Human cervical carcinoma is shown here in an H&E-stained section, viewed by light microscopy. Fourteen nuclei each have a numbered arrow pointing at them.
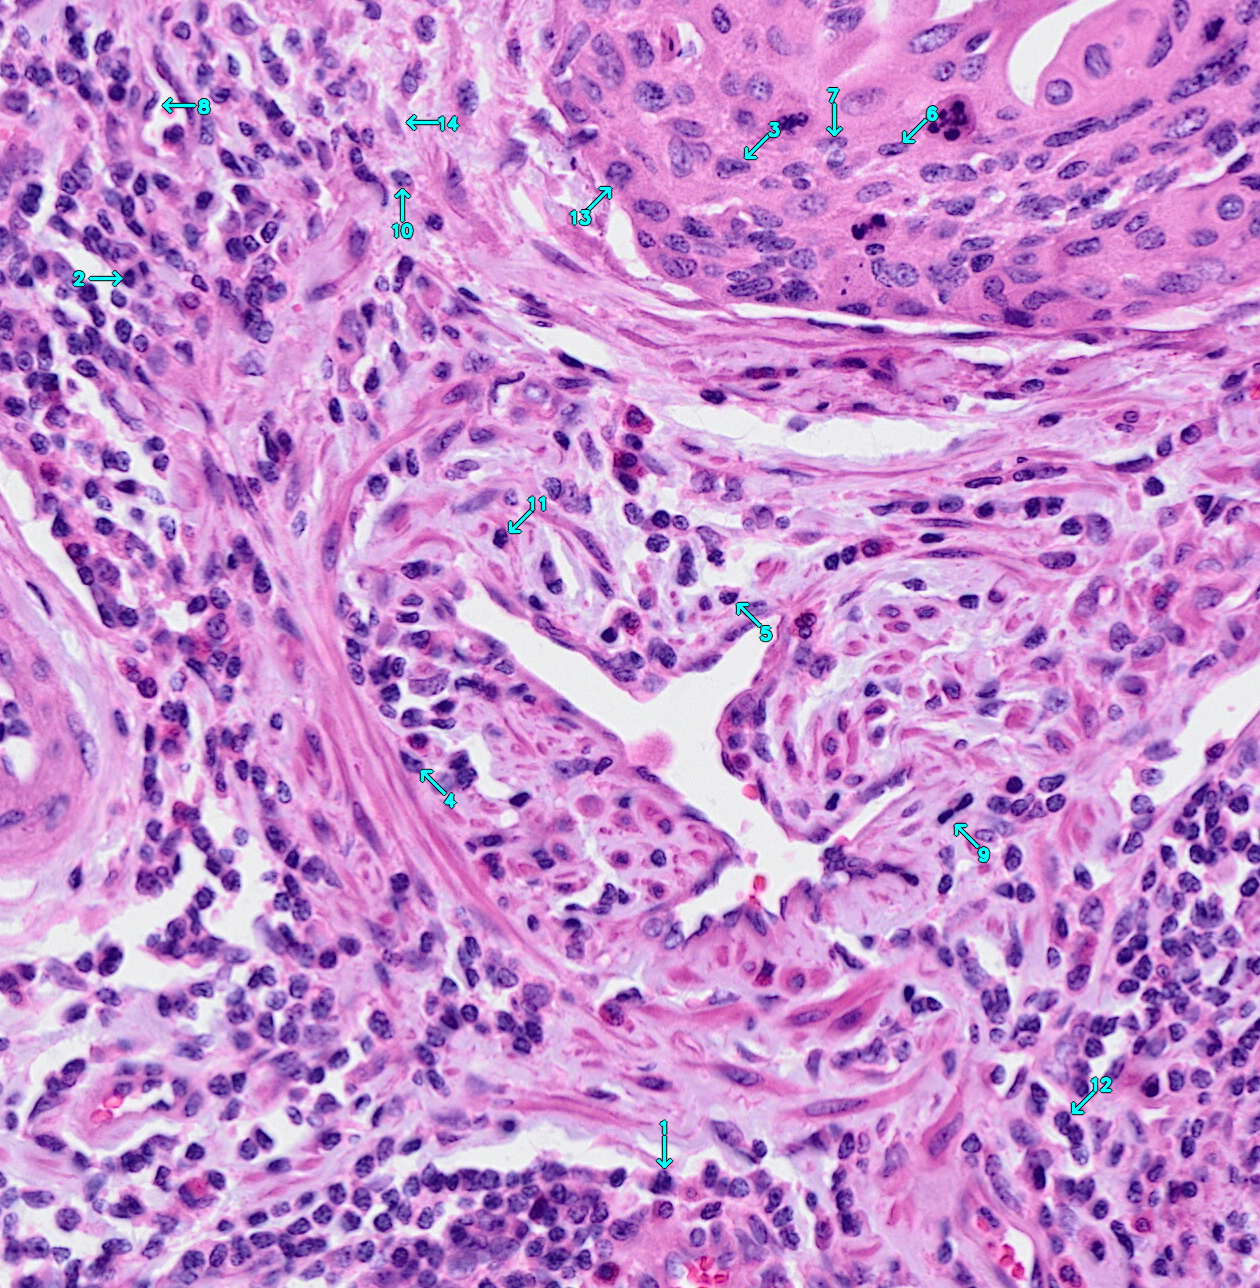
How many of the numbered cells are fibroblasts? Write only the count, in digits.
1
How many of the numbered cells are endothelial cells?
1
